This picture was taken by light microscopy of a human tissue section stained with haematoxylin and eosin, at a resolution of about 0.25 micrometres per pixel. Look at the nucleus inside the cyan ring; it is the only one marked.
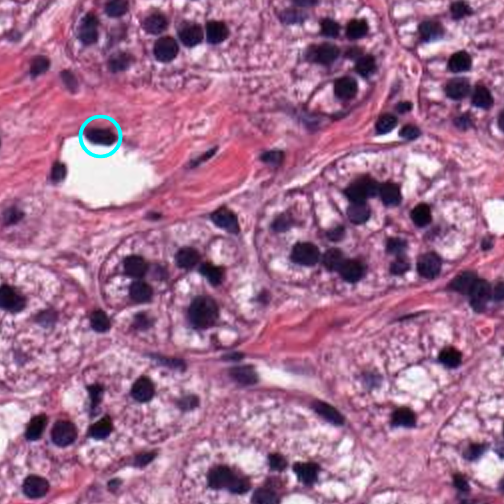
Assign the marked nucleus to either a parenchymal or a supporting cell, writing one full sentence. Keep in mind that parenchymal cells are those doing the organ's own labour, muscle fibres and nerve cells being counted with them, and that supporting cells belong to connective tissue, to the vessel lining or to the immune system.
As for the marked nucleus, it belongs to a supporting cell.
